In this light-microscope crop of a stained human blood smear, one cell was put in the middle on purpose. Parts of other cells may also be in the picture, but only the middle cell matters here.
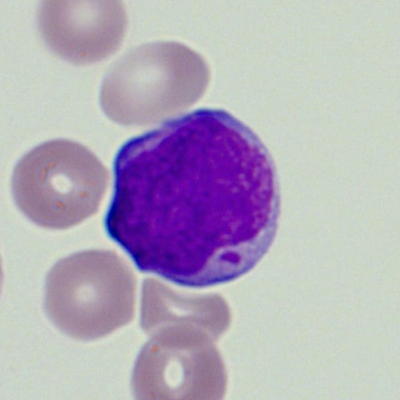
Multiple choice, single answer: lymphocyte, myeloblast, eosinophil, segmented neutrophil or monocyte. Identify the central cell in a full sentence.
The target cell in the middle of the crop is a myeloblast.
